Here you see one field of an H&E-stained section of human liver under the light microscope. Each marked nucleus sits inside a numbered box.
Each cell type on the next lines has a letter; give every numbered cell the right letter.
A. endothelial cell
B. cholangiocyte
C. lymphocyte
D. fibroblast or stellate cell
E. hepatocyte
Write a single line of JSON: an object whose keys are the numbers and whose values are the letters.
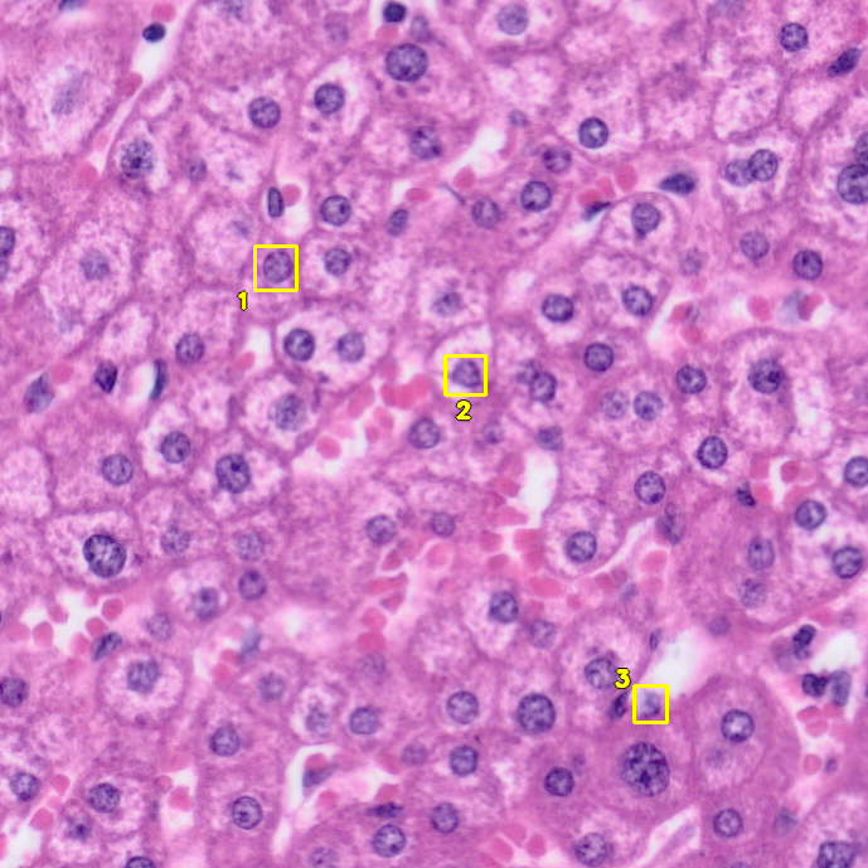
{"1": "E", "2": "E", "3": "A"}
